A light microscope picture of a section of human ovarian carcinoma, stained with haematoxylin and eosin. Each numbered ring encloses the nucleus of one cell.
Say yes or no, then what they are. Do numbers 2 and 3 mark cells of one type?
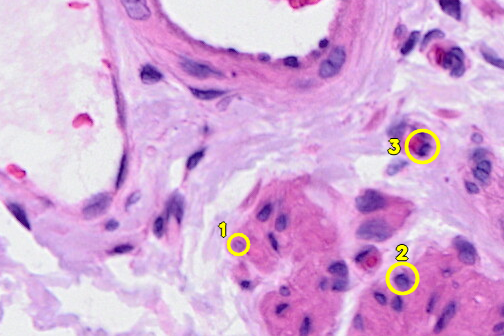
No, unlike cell 3, which is an endothelial cell, cell 2 is a smooth muscle cell.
